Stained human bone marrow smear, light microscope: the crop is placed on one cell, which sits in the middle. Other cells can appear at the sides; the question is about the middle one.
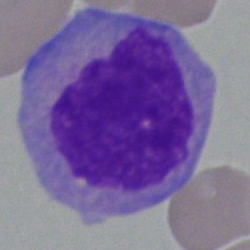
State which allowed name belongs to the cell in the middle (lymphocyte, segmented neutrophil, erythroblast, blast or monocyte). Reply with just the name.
monocyte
